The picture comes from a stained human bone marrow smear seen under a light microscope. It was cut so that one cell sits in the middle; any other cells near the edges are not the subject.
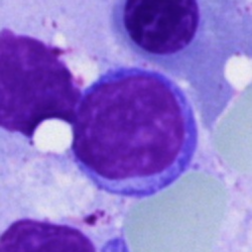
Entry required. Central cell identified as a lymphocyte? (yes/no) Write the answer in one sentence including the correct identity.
Yes, the cell in the middle is recognised as a lymphocyte.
